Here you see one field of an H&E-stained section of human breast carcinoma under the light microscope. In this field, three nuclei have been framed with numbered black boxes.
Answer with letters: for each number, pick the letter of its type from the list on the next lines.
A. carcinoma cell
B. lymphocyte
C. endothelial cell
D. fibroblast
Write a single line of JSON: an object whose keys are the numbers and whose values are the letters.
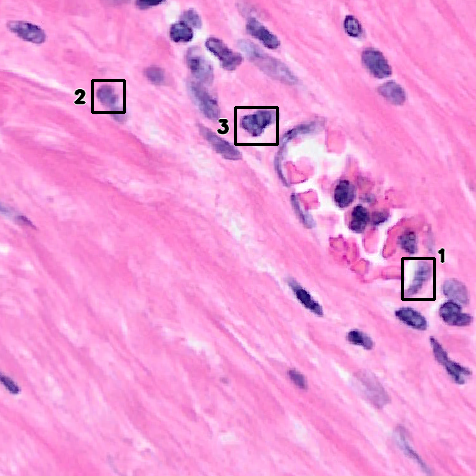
{"1": "C", "2": "B", "3": "B"}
